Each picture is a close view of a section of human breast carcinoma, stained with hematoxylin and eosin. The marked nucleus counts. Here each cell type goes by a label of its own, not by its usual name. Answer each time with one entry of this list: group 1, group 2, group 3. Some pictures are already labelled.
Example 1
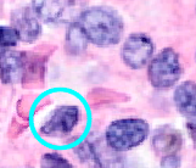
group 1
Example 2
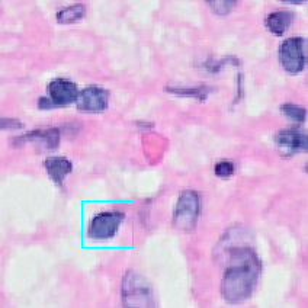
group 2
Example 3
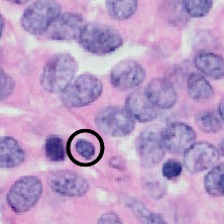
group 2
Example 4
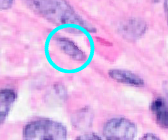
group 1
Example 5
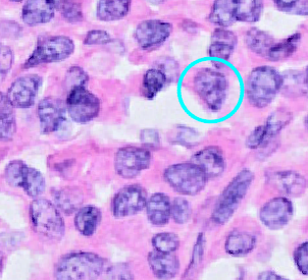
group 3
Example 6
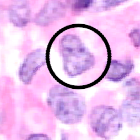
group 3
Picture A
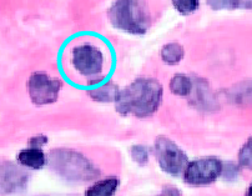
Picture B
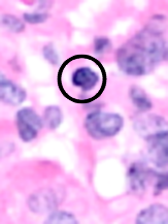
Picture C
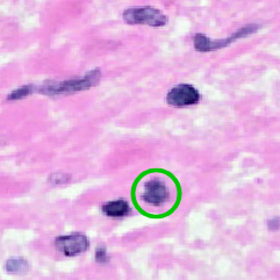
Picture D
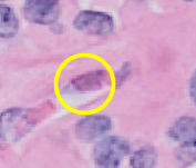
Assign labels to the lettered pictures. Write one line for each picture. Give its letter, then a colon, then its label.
A: group 2
B: group 2
C: group 2
D: group 1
